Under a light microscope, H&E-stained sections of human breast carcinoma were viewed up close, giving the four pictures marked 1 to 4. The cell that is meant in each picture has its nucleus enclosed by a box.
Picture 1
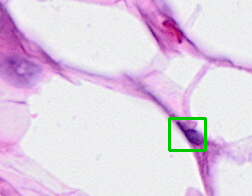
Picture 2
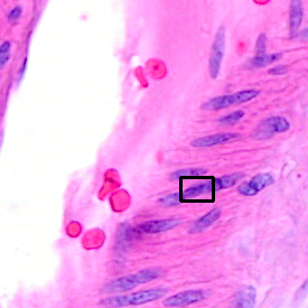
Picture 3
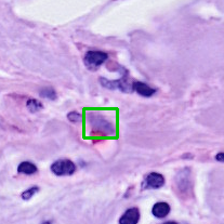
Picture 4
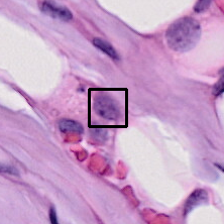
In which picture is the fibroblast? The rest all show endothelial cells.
1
